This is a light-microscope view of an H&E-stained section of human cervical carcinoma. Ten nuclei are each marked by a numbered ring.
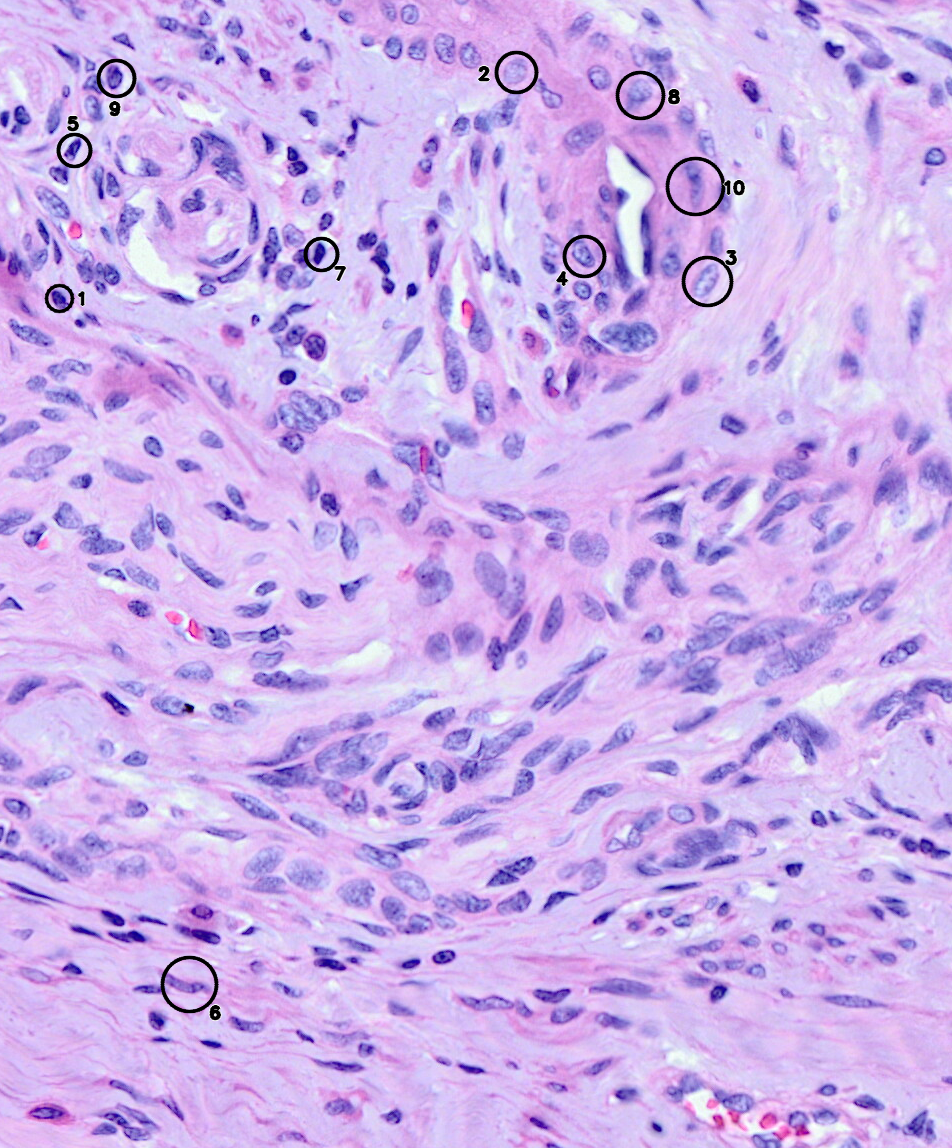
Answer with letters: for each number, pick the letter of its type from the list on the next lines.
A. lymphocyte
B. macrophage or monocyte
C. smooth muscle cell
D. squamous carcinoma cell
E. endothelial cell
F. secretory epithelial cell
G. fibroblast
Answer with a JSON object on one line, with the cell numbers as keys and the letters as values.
{"1": "A", "2": "C", "3": "C", "4": "C", "5": "A", "6": "C", "7": "A", "8": "C", "9": "A", "10": "C"}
